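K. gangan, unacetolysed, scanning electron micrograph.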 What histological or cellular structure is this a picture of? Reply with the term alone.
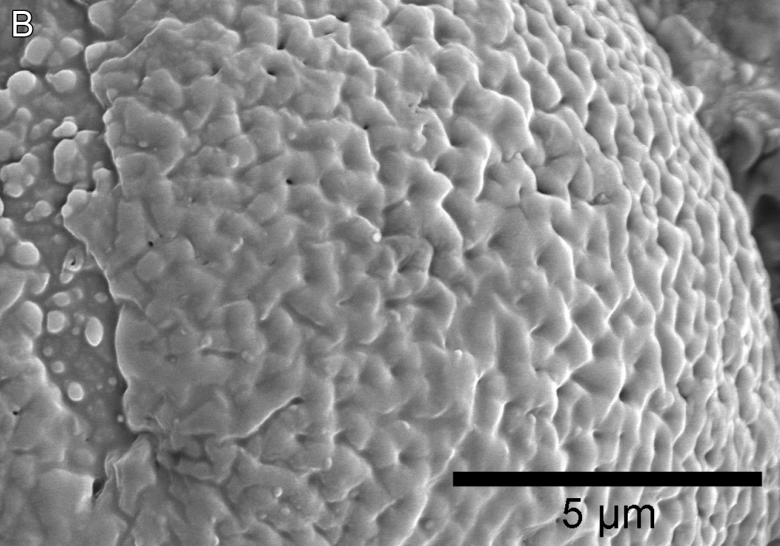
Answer: Surface sculpturing.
